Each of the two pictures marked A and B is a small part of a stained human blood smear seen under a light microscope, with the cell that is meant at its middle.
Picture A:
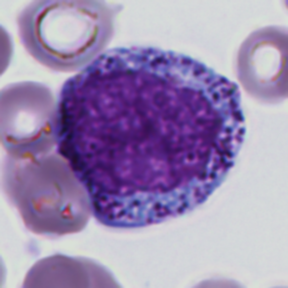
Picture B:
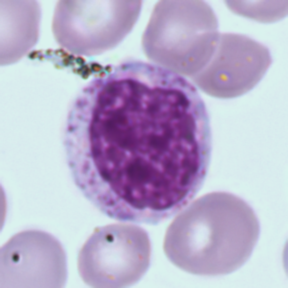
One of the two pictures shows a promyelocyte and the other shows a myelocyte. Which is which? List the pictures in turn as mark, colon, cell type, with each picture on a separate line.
A: promyelocyte
B: myelocyte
